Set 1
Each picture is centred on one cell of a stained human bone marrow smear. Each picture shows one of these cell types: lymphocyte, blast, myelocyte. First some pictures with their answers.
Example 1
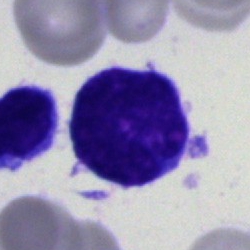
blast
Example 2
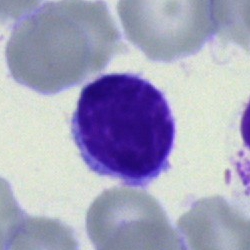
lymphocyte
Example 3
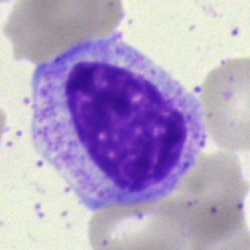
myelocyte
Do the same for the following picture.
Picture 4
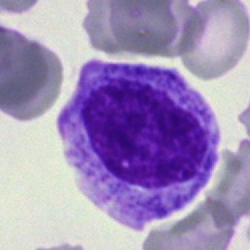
myelocyte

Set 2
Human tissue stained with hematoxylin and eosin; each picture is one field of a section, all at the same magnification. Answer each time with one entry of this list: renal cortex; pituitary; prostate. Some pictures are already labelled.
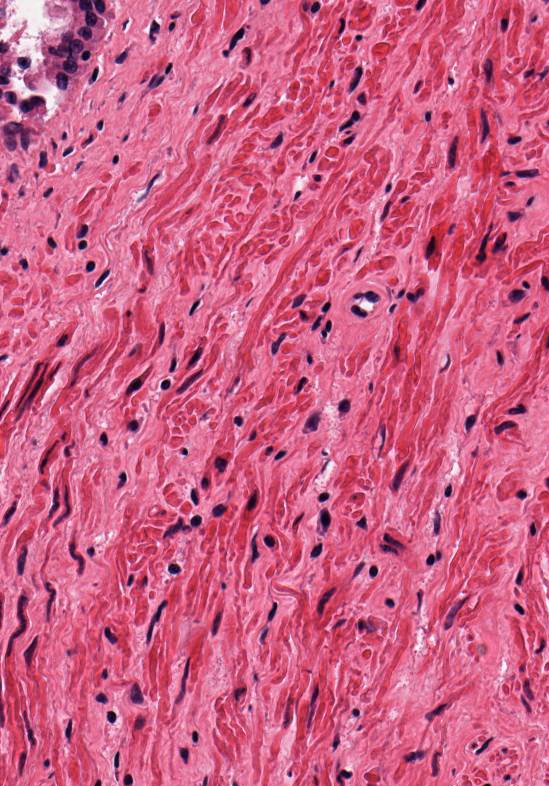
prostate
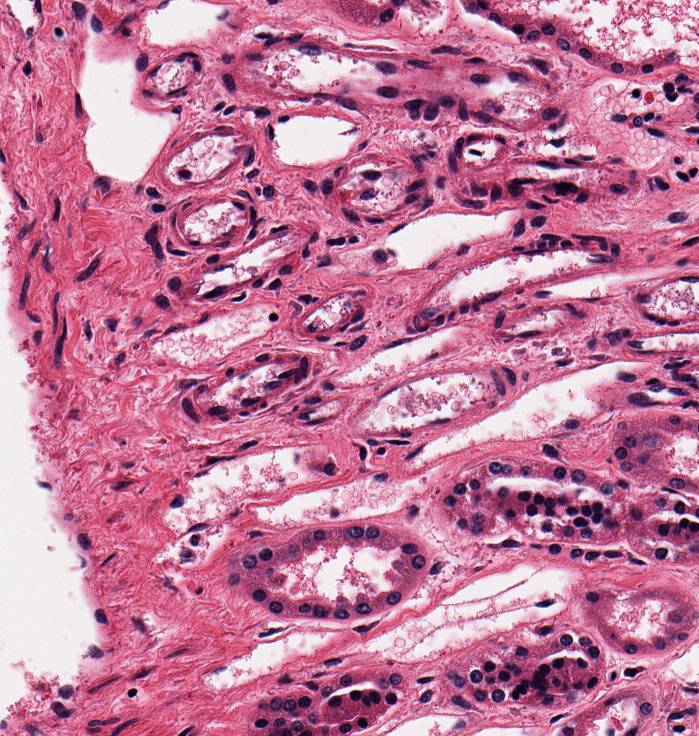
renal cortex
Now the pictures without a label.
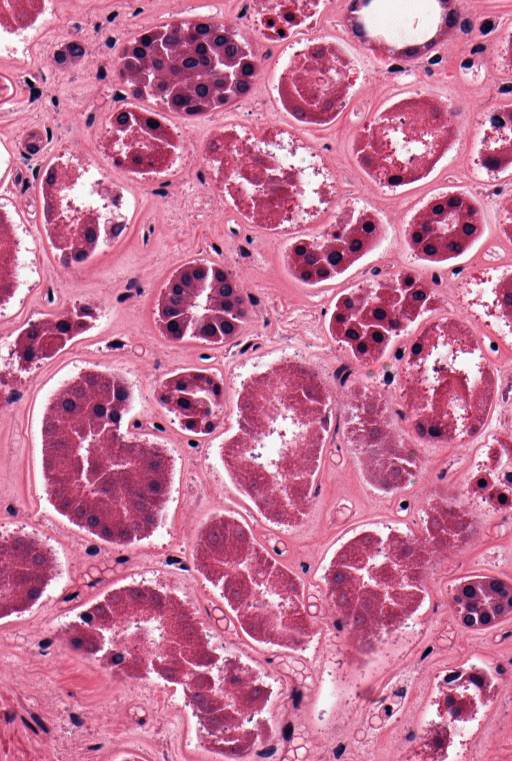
renal cortex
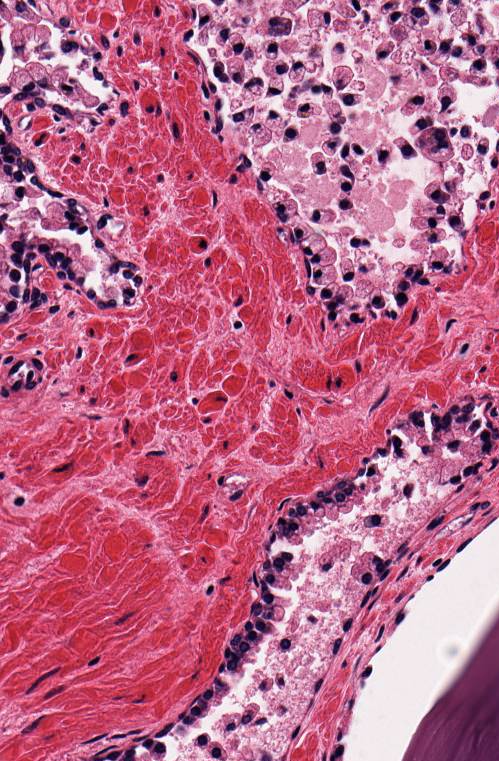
prostate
